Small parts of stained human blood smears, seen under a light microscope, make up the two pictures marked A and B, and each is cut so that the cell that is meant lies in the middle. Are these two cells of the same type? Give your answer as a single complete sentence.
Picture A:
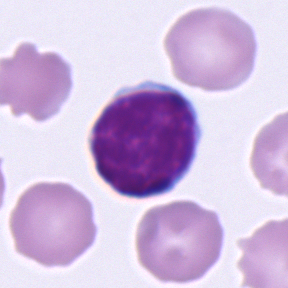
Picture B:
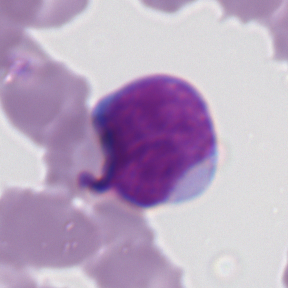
No, they differ: the cell is a typical lymphocyte in picture A and a myeloblast in picture B.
